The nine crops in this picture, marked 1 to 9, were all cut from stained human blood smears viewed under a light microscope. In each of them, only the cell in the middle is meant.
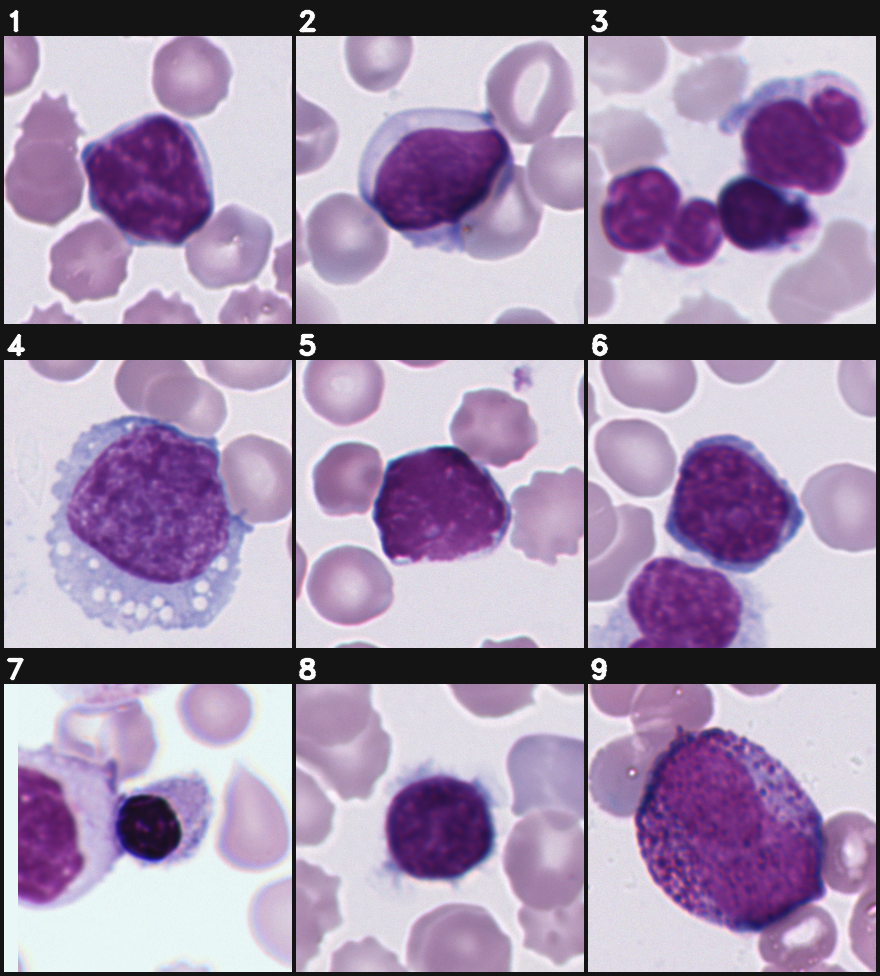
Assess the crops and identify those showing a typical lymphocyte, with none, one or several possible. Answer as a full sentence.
In crops 1, 2, 5 and 6, the central cells are typical lymphocytes.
